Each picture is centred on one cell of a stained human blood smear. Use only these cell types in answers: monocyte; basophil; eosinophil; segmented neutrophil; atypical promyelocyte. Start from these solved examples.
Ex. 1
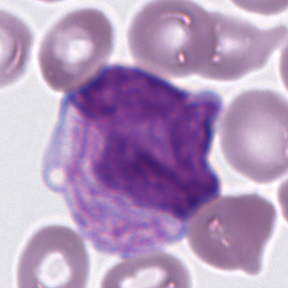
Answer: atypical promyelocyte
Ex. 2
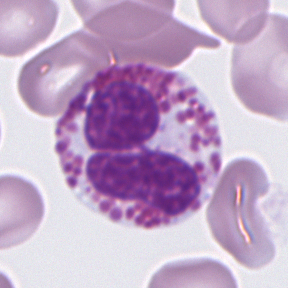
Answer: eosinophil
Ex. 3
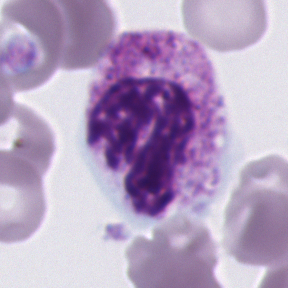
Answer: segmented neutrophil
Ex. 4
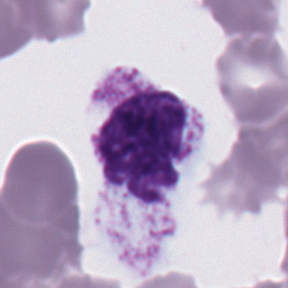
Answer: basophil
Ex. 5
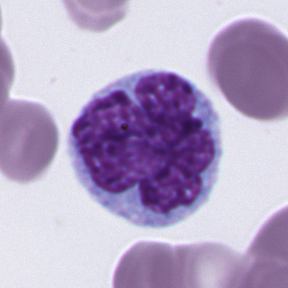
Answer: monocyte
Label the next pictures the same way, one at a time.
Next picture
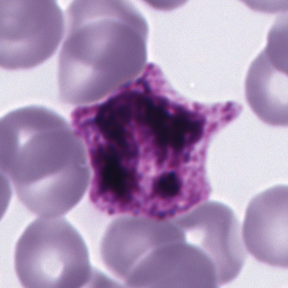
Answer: basophil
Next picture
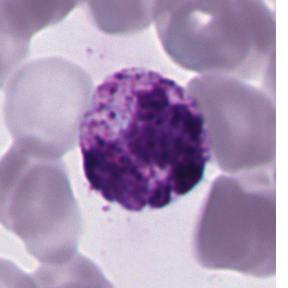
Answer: basophil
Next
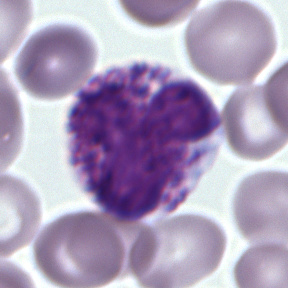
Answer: basophil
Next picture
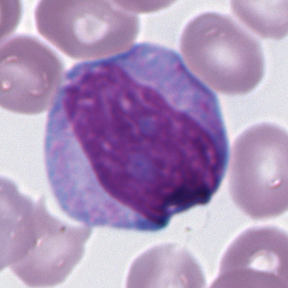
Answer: atypical promyelocyte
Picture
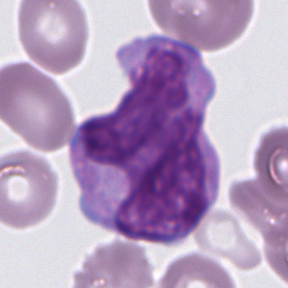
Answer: atypical promyelocyte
